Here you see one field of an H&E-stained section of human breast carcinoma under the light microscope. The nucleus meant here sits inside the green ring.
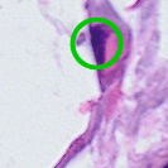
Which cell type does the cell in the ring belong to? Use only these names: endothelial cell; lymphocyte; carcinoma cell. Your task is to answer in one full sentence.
The identity of the cell in the ring is that of an endothelial cell.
